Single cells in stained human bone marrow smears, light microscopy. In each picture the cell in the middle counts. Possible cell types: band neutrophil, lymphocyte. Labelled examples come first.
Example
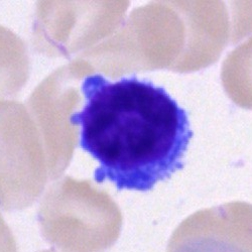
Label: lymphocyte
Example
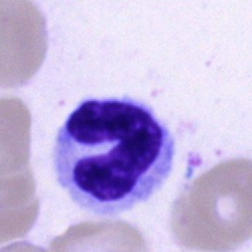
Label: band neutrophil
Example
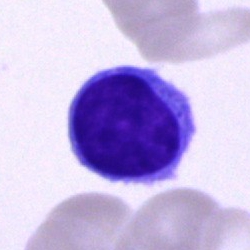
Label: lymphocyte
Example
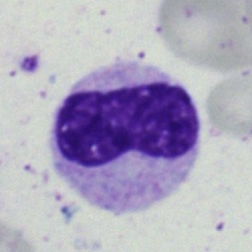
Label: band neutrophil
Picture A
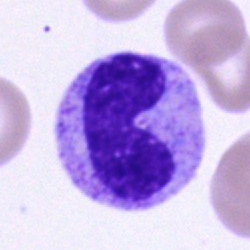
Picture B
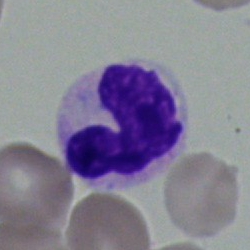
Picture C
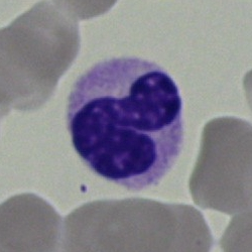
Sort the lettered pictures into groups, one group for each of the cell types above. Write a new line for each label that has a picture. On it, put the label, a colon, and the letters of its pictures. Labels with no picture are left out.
band neutrophil: A, B, C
